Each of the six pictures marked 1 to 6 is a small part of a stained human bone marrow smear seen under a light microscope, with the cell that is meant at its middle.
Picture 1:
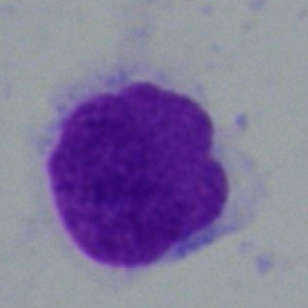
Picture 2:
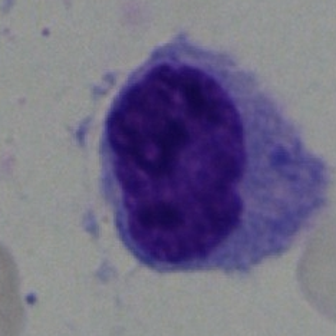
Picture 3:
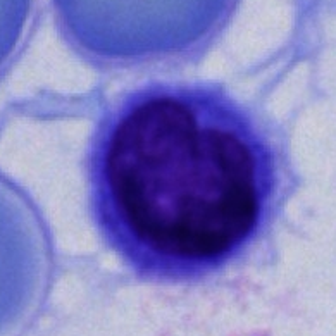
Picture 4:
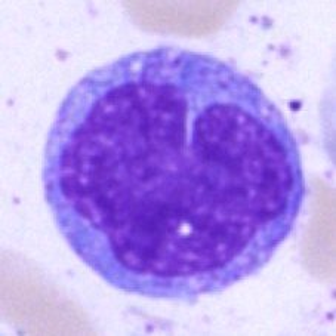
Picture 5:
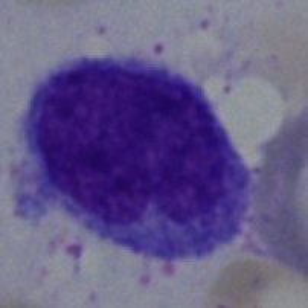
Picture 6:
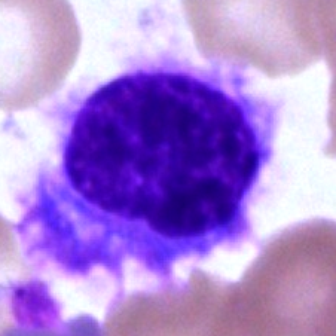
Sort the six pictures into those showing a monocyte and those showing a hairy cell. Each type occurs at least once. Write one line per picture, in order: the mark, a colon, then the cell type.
1: hairy cell
2: hairy cell
3: hairy cell
4: monocyte
5: monocyte
6: hairy cell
